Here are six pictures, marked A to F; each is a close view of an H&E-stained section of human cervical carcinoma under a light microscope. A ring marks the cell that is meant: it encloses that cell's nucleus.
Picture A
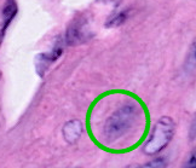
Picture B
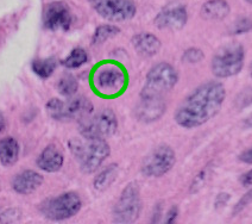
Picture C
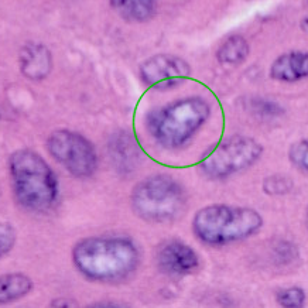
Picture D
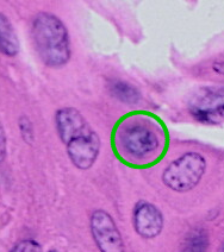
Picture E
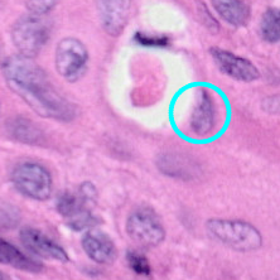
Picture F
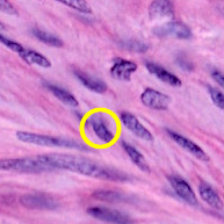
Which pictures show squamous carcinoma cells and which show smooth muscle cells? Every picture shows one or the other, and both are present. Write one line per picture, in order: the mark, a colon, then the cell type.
A: smooth muscle cell
B: squamous carcinoma cell
C: squamous carcinoma cell
D: squamous carcinoma cell
E: squamous carcinoma cell
F: smooth muscle cell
